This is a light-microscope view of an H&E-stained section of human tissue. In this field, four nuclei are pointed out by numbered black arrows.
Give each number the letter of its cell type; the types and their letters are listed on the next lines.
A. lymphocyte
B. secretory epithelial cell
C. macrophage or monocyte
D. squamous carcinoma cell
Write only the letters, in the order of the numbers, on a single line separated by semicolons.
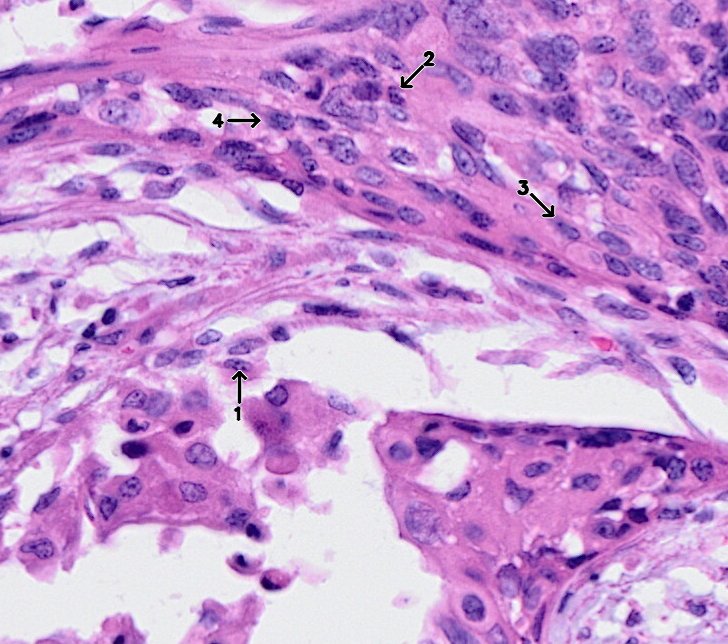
C; D; D; D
